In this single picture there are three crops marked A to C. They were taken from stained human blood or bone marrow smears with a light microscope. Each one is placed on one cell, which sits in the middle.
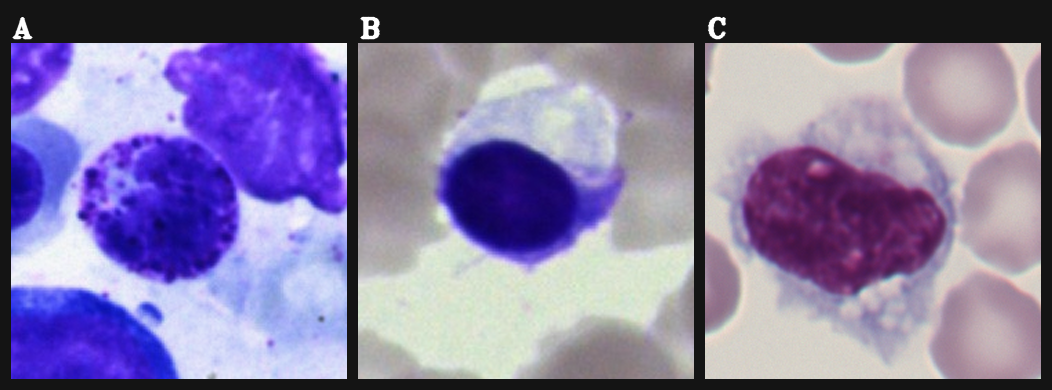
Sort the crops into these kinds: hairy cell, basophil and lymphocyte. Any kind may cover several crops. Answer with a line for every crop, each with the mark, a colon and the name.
A: basophil
B: lymphocyte
C: hairy cell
